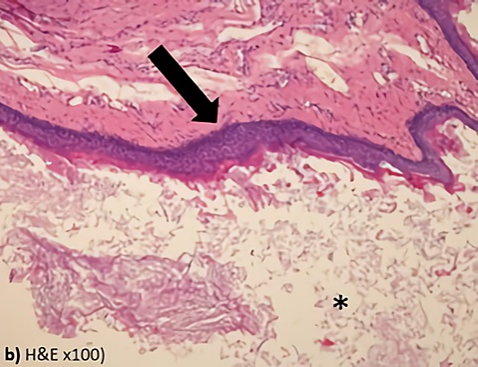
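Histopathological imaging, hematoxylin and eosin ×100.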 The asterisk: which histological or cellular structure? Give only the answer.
Keratin.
